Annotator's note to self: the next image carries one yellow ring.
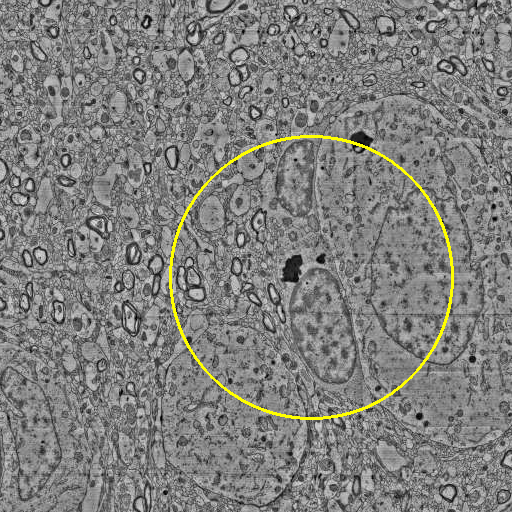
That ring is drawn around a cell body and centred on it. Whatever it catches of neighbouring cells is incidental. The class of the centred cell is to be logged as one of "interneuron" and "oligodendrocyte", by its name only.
oligodendrocyte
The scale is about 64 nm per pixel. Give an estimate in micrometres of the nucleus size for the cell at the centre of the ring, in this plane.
About 7 by 4 micrometers in this plane, so the nucleus is clearly longer than it is wide.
